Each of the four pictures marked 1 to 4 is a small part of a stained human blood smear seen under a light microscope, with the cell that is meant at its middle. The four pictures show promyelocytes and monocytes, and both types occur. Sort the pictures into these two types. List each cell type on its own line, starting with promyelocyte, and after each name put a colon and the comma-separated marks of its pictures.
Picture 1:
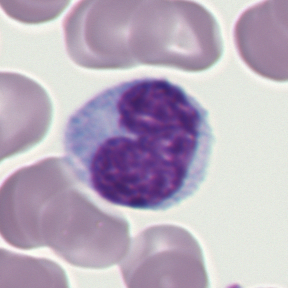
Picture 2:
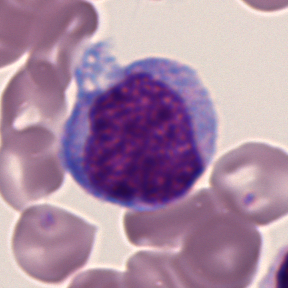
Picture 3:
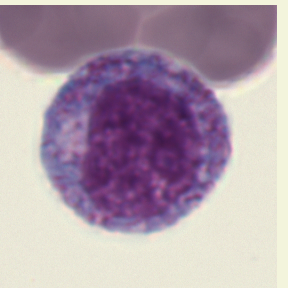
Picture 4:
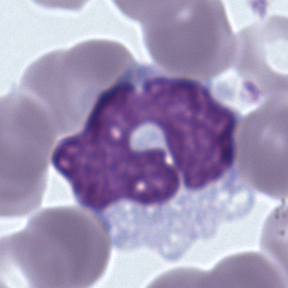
promyelocyte: 3
monocyte: 1, 2, 4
